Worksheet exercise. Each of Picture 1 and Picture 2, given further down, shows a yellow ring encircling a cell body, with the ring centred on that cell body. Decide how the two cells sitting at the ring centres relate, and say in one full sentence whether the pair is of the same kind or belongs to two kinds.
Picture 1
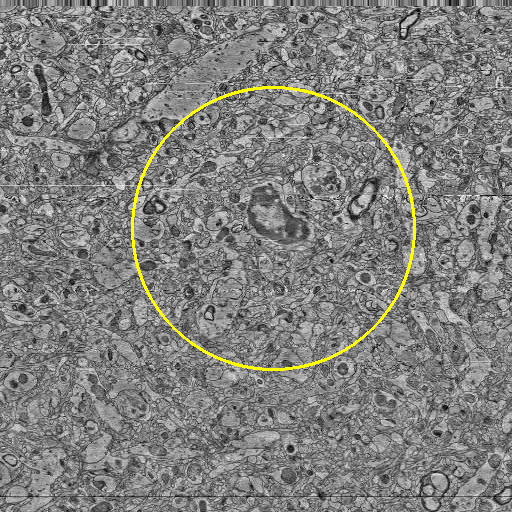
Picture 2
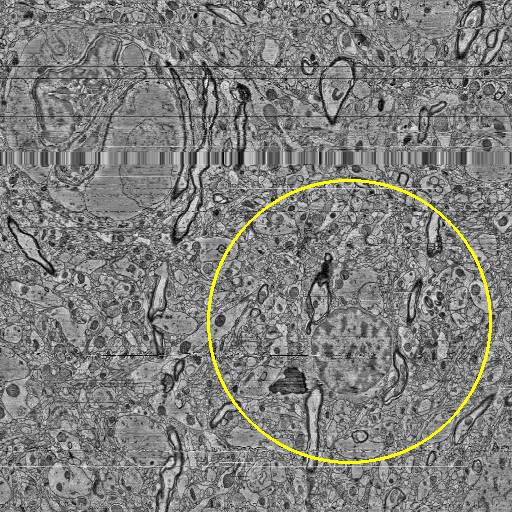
The cells at the ring centres in Picture 1 and Picture 2 belong to two kinds.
